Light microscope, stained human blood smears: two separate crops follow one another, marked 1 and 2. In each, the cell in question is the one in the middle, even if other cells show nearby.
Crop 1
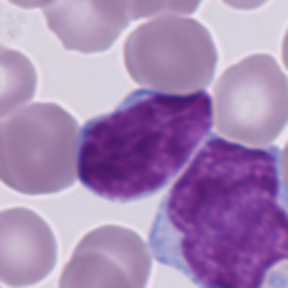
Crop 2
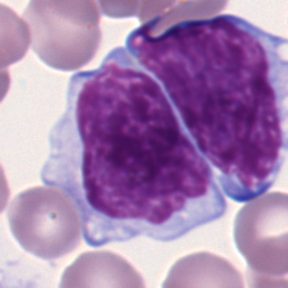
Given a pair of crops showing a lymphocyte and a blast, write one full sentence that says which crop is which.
The cell of crop 1 is a lymphocyte; that of crop 2 is a blast.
